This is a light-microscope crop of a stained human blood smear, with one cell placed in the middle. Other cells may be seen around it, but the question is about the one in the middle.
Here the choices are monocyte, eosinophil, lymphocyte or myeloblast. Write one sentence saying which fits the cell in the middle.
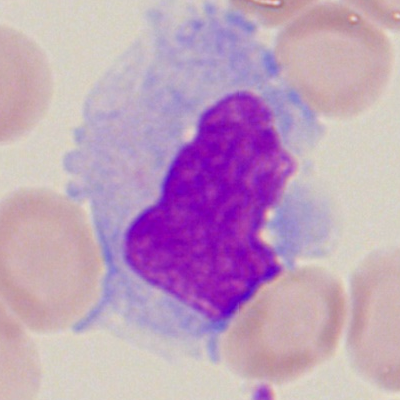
Located at the centre of the crop is a monocyte.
